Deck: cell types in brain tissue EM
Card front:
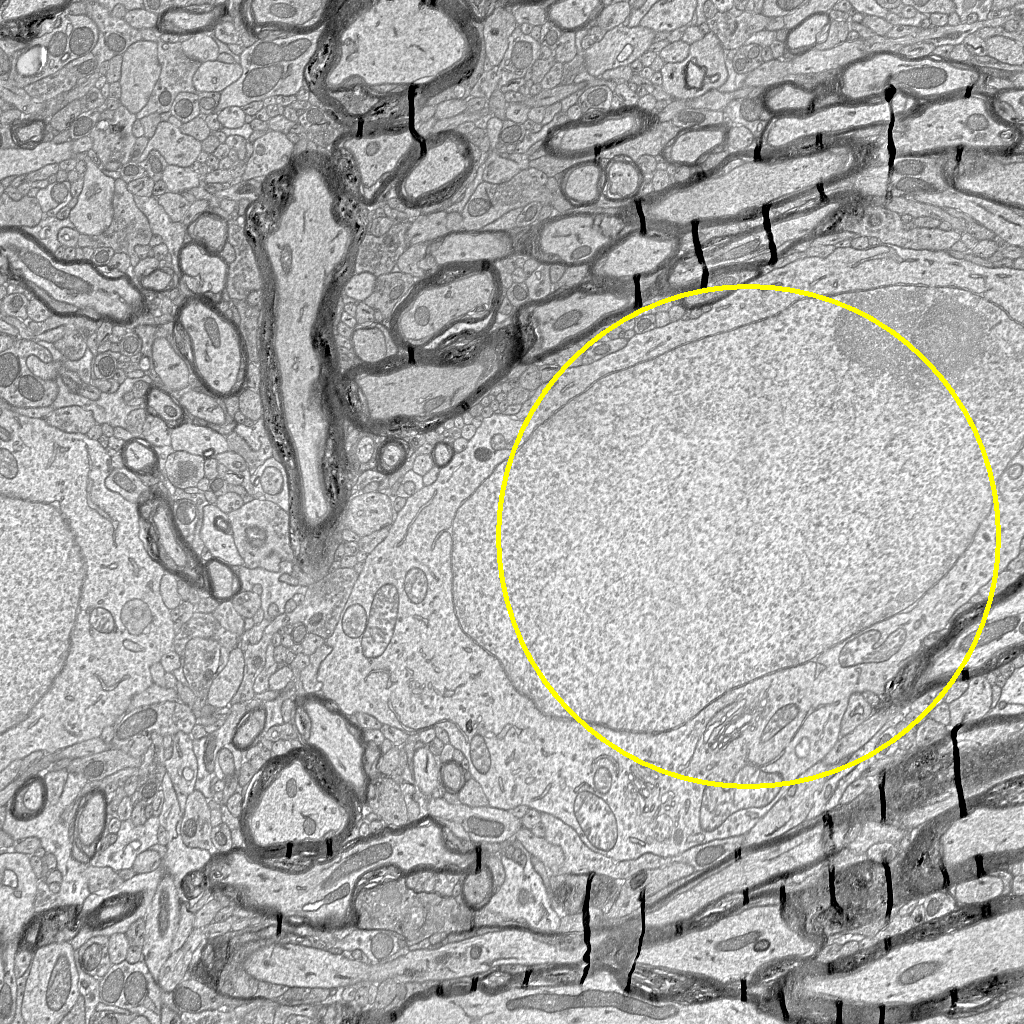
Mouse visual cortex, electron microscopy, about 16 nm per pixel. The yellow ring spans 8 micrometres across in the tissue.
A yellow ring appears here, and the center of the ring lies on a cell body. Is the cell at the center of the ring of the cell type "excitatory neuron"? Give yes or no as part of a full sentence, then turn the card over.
Yes, on this card the center of the yellow ring lies on a cell of that type.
